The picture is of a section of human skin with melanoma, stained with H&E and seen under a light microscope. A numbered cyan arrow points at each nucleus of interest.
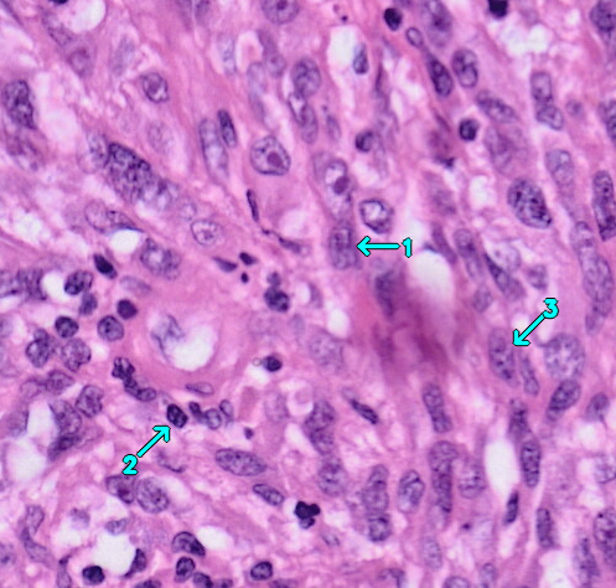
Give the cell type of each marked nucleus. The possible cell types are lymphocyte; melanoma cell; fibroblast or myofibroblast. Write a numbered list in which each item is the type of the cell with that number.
1. melanoma cell
2. lymphocyte
3. melanoma cell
